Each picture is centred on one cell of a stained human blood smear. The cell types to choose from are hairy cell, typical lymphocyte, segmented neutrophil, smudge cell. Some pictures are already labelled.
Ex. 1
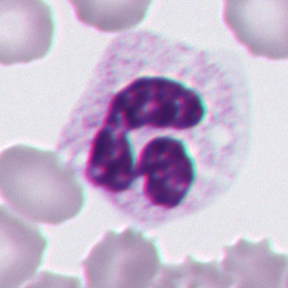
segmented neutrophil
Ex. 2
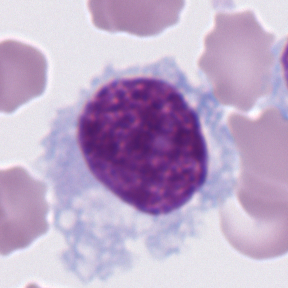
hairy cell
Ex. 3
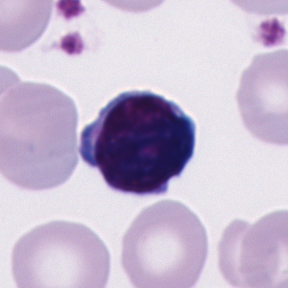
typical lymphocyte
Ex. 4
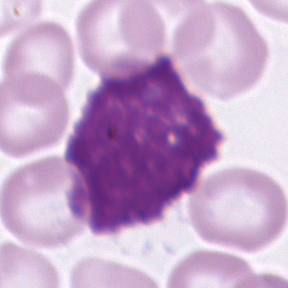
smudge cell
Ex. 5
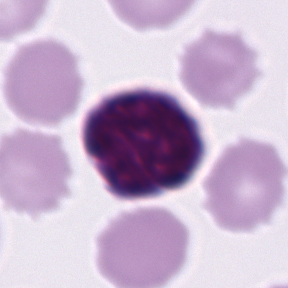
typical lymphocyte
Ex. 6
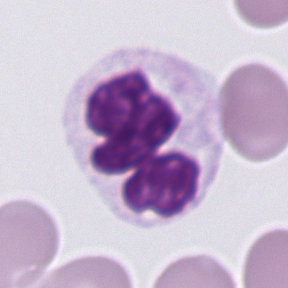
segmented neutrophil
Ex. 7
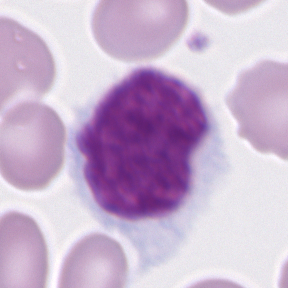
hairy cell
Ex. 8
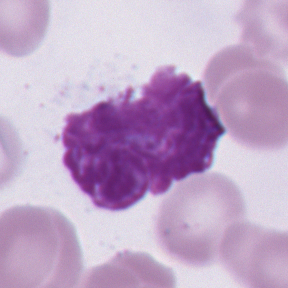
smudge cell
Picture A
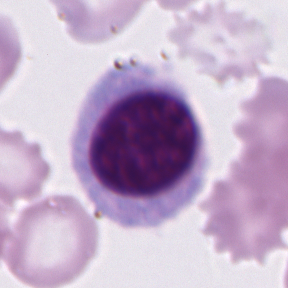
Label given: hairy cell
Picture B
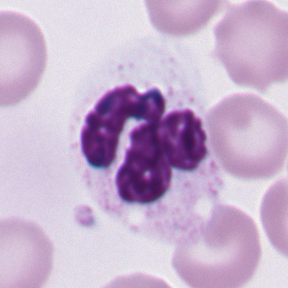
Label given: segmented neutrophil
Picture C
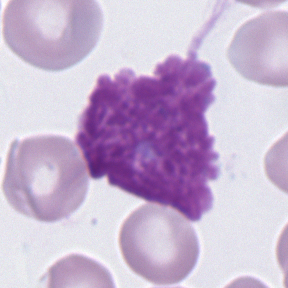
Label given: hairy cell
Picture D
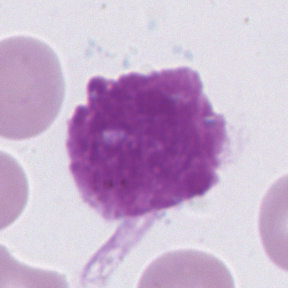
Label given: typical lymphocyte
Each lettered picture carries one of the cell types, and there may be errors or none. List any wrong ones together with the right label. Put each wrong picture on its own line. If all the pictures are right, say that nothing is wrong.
C: smudge cell, not hairy cell
D: smudge cell, not typical lymphocyte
